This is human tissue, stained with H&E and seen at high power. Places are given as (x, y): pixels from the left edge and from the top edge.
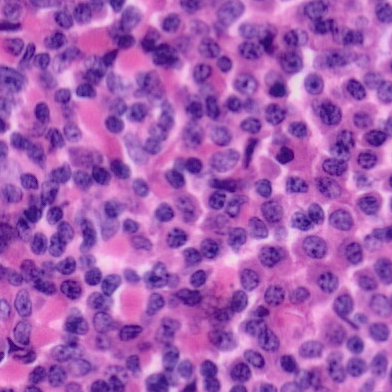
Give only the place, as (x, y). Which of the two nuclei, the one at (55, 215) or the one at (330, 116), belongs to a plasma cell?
(330, 116)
